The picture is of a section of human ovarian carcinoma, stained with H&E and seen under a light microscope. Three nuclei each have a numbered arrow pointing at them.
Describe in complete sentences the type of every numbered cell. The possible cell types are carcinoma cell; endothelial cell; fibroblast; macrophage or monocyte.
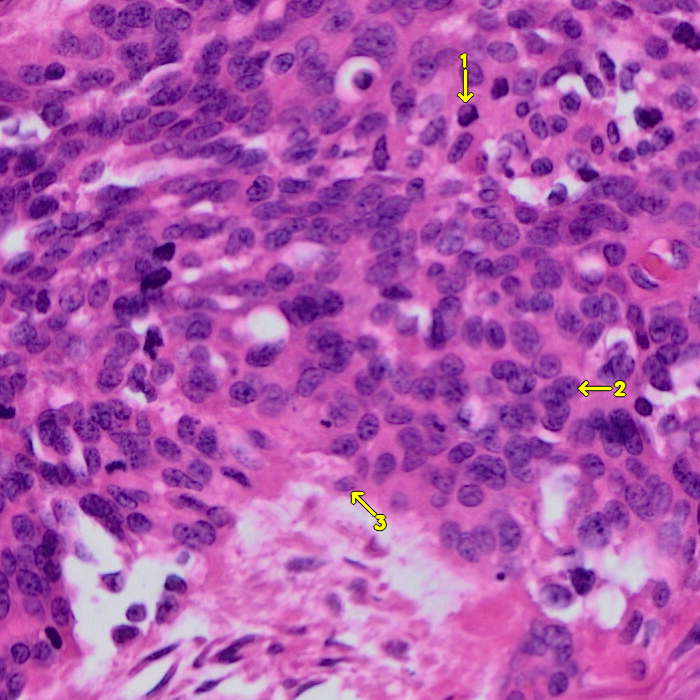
Cell 1 is a macrophage or monocyte, cell 2 is a carcinoma cell and cell 3 is a macrophage or monocyte.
